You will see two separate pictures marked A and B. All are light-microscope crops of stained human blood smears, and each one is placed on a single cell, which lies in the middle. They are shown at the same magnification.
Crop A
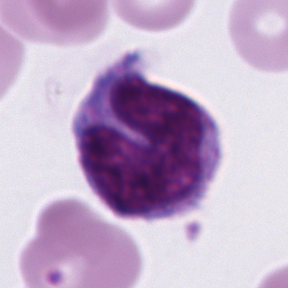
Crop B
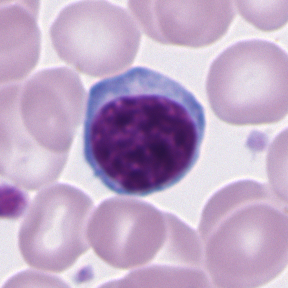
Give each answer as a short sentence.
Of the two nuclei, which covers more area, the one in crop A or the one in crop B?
Larger is the nucleus in crop A, at roughly 1.5 times the area of the other.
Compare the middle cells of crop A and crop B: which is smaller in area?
The cell in crop B is smaller; the one in crop A has about 1.5 times its area.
